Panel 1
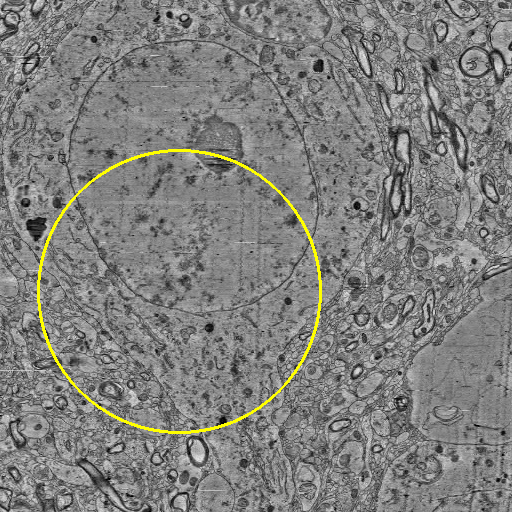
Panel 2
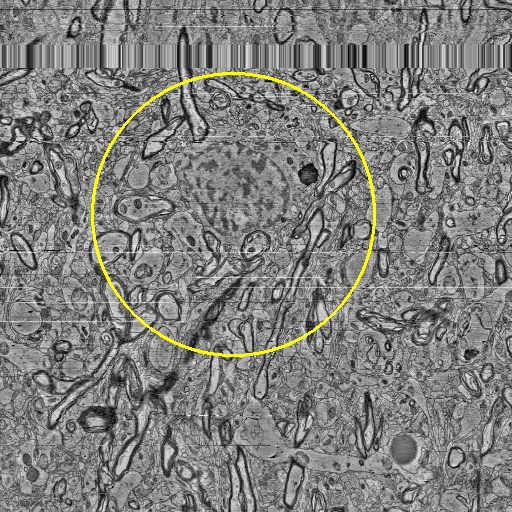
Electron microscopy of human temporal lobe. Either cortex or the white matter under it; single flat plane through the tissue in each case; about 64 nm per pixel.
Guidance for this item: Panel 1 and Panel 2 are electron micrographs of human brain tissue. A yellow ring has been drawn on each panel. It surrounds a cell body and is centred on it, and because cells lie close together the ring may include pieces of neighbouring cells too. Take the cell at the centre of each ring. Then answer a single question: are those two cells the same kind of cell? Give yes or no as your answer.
no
